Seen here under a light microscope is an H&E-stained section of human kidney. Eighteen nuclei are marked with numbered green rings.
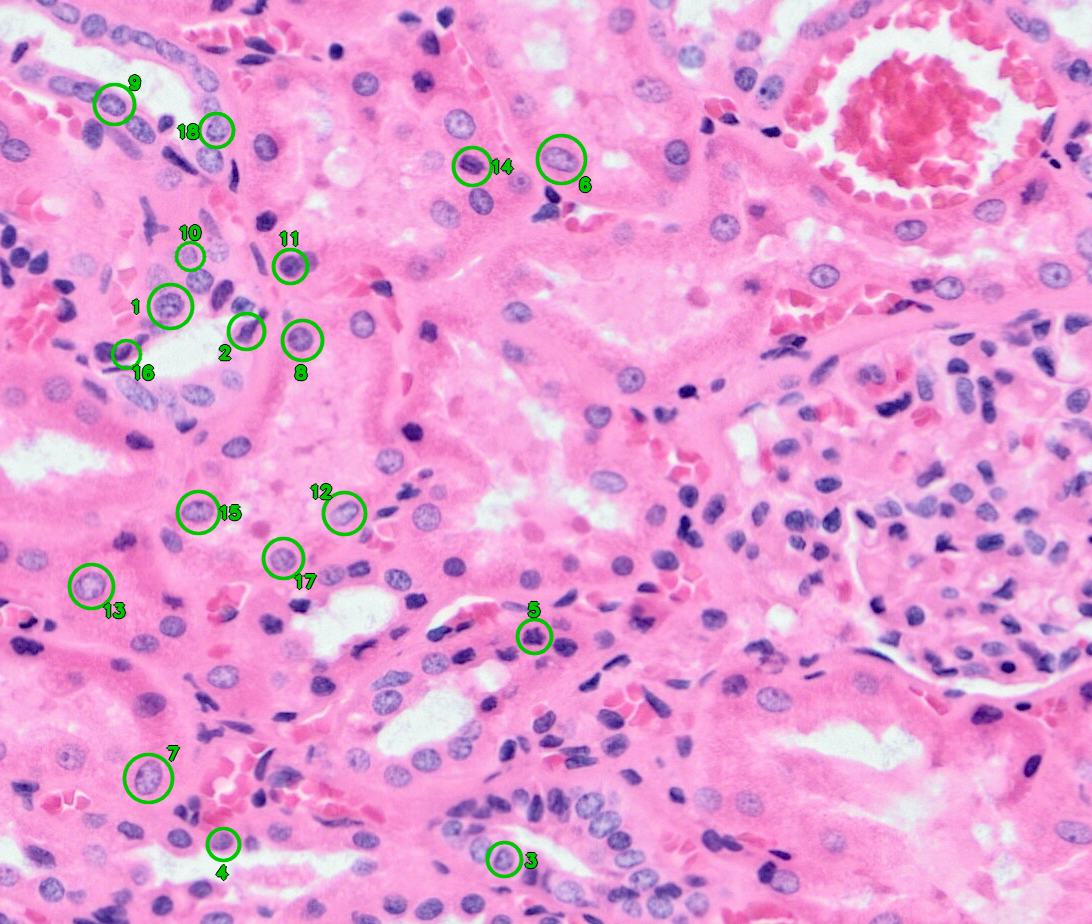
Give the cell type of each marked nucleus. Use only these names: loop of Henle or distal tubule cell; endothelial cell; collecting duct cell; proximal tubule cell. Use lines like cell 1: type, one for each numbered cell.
cell 1: collecting duct cell
cell 2: collecting duct cell
cell 3: collecting duct cell
cell 4: loop of Henle or distal tubule cell
cell 5: loop of Henle or distal tubule cell
cell 6: proximal tubule cell
cell 7: proximal tubule cell
cell 8: proximal tubule cell
cell 9: collecting duct cell
cell 10: collecting duct cell
cell 11: proximal tubule cell
cell 12: proximal tubule cell
cell 13: proximal tubule cell
cell 14: proximal tubule cell
cell 15: proximal tubule cell
cell 16: collecting duct cell
cell 17: proximal tubule cell
cell 18: collecting duct cell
